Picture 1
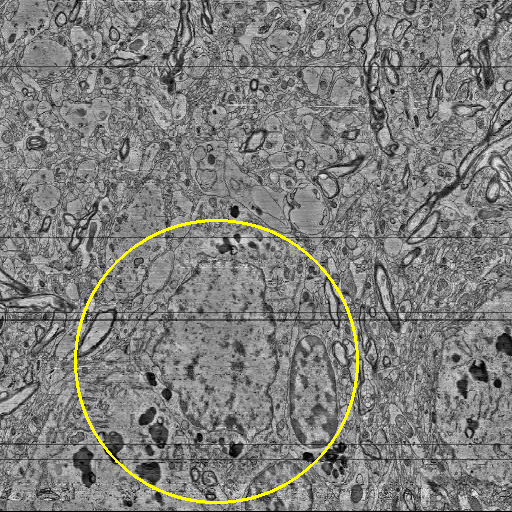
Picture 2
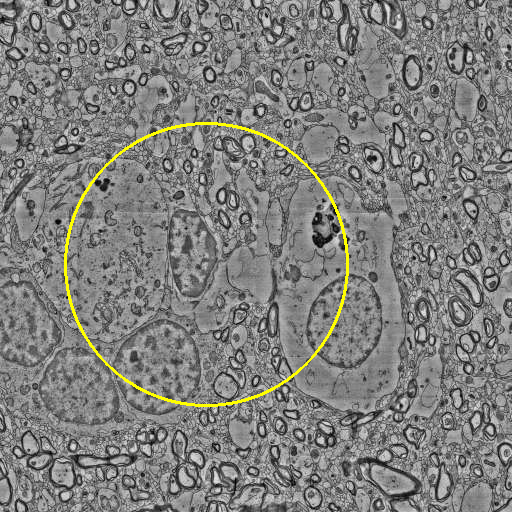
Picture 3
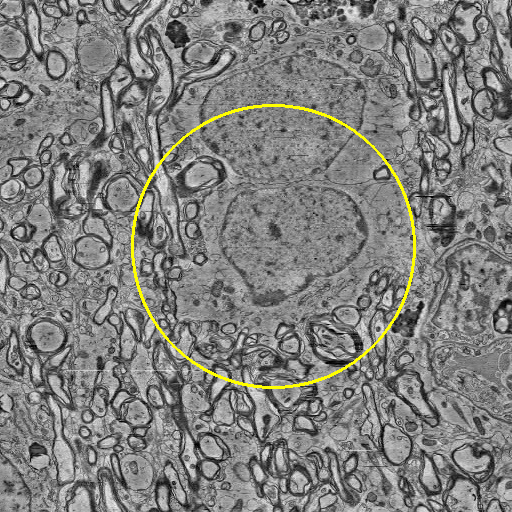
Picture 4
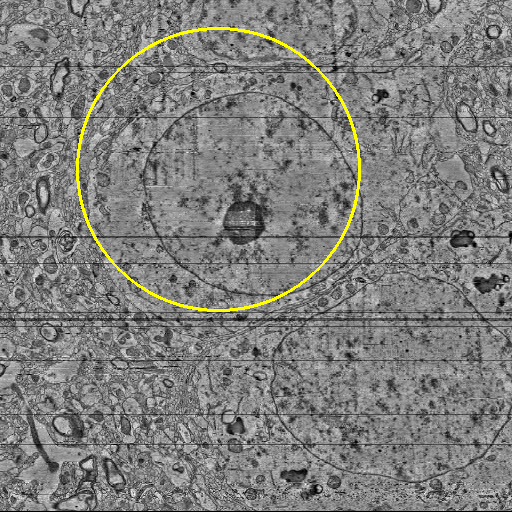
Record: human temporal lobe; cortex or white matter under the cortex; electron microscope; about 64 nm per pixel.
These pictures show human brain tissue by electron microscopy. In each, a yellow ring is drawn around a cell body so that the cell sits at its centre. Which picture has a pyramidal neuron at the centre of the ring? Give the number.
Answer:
4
